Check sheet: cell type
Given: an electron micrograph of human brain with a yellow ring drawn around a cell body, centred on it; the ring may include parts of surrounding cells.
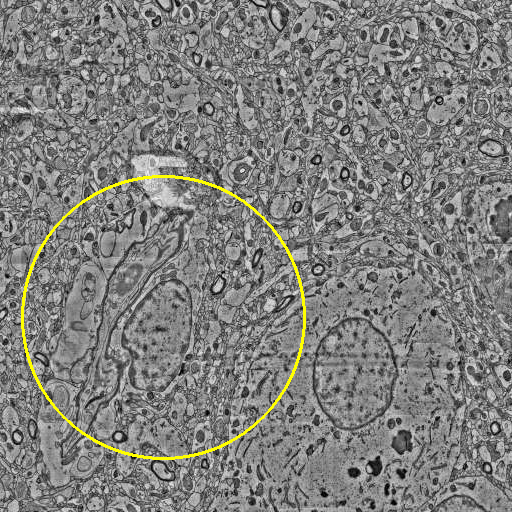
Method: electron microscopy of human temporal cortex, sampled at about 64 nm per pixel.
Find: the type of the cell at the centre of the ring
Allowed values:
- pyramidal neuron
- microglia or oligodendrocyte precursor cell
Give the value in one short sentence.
Here the ringed cell is a microglial cell or oligodendrocyte precursor cell.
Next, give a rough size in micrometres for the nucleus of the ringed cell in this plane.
In this plane, the nucleus is roughly 7 by 4 micrometres.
